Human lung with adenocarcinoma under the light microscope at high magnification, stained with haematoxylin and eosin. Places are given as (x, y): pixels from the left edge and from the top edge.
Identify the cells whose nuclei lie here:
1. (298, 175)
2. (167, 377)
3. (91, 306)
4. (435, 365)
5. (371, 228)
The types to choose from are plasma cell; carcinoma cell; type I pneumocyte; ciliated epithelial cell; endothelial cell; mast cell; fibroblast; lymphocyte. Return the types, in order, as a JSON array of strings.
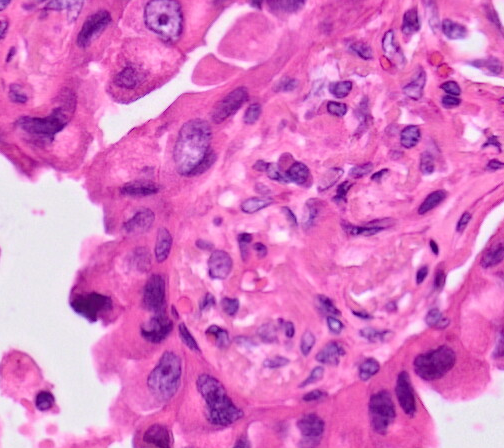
["plasma cell", "carcinoma cell", "carcinoma cell", "carcinoma cell", "fibroblast"]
